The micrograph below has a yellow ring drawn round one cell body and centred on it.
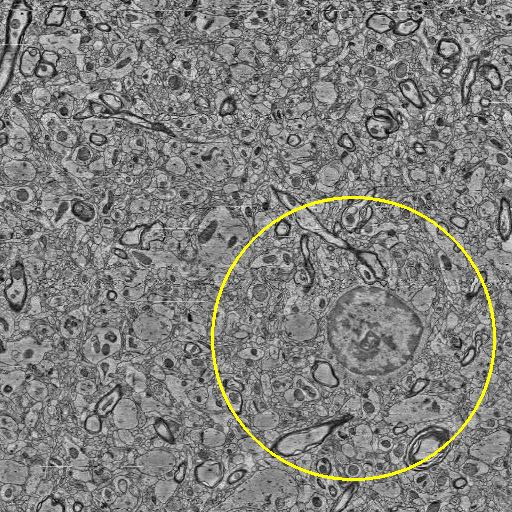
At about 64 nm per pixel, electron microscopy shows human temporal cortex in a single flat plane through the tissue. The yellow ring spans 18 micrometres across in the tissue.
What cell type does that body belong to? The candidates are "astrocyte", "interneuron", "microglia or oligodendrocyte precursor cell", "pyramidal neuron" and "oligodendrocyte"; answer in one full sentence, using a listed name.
This is an oligodendrocyte, the cell whose body lies at the centre of the ring.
